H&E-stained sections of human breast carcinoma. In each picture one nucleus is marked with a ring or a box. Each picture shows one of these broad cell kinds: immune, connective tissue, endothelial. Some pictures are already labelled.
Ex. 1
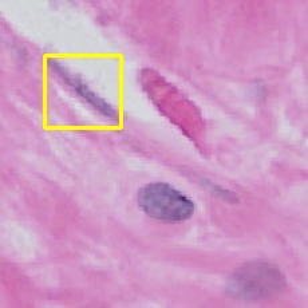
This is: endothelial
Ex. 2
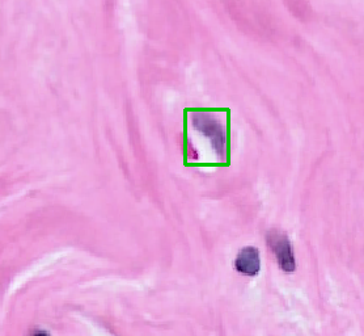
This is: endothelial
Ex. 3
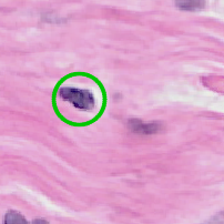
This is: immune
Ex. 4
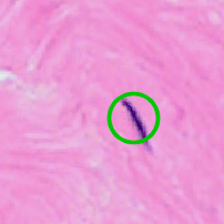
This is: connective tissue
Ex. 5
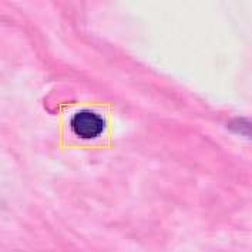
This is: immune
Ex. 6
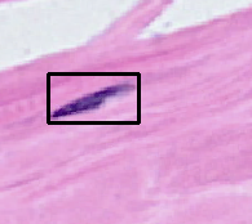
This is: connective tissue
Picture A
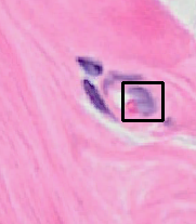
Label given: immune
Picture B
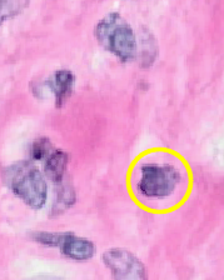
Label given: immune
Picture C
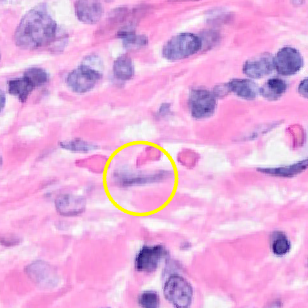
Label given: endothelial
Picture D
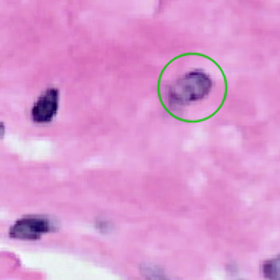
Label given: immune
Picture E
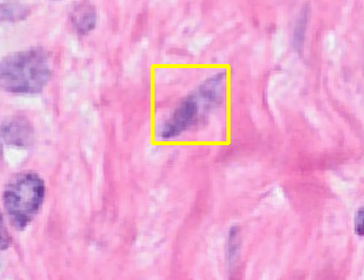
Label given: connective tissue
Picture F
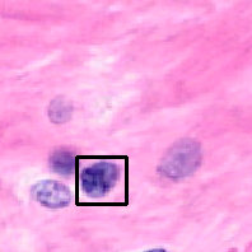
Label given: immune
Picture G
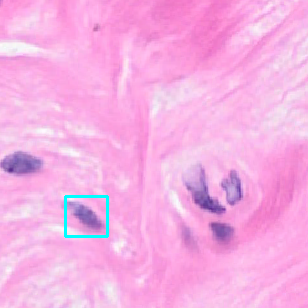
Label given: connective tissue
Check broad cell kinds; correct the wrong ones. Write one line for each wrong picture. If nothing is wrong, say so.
A should be endothelial, not immune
